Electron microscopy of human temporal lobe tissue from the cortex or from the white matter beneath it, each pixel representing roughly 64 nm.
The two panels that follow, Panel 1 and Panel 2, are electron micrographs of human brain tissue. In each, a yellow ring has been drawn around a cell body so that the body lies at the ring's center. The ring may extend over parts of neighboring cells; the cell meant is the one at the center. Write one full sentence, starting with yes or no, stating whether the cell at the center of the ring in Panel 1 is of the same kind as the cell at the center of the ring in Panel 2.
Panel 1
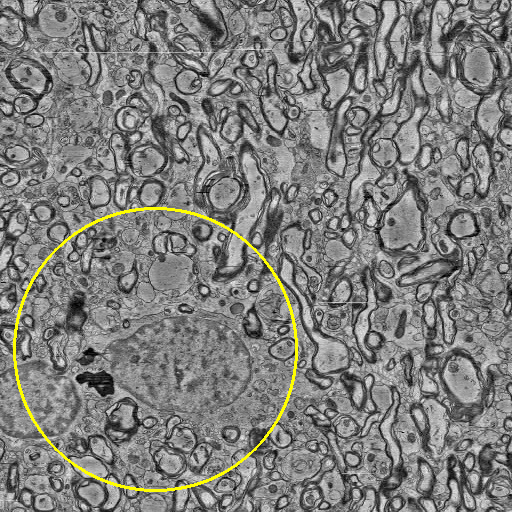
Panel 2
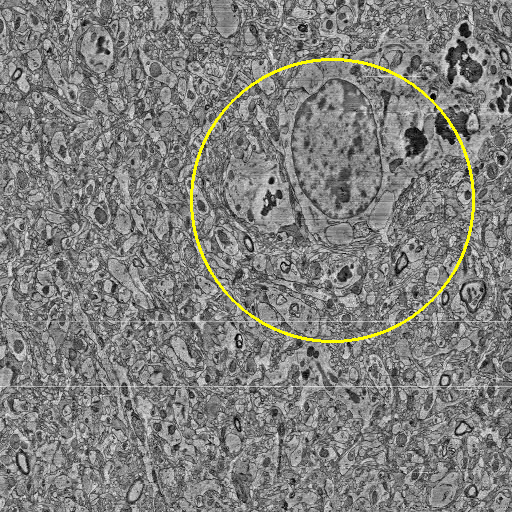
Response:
No, the cells in the two panels are of two kinds.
